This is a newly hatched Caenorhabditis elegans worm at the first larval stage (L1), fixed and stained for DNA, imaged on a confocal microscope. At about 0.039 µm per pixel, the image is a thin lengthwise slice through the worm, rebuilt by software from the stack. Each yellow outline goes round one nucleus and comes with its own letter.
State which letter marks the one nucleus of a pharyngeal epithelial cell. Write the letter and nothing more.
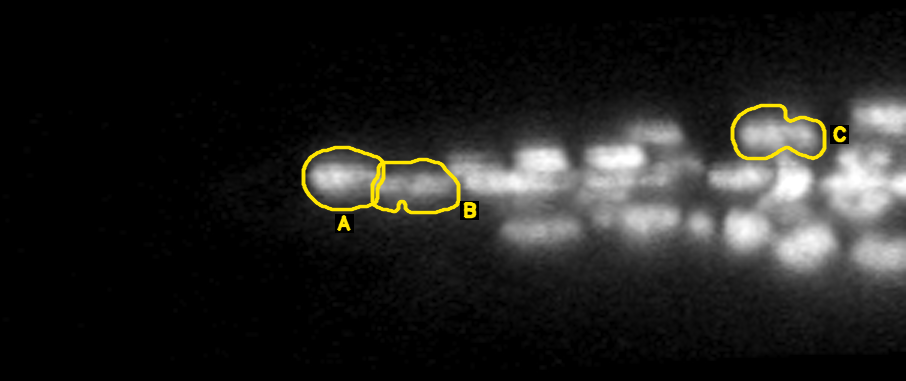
B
